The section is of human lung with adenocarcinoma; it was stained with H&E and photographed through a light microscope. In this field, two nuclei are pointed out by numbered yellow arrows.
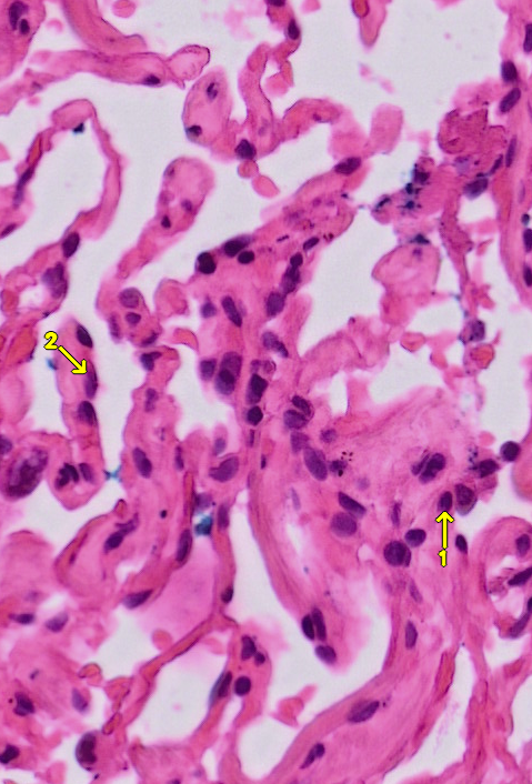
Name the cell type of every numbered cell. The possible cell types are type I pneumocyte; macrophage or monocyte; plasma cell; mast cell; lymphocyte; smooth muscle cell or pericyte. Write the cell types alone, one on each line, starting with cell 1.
mast cell
type I pneumocyte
